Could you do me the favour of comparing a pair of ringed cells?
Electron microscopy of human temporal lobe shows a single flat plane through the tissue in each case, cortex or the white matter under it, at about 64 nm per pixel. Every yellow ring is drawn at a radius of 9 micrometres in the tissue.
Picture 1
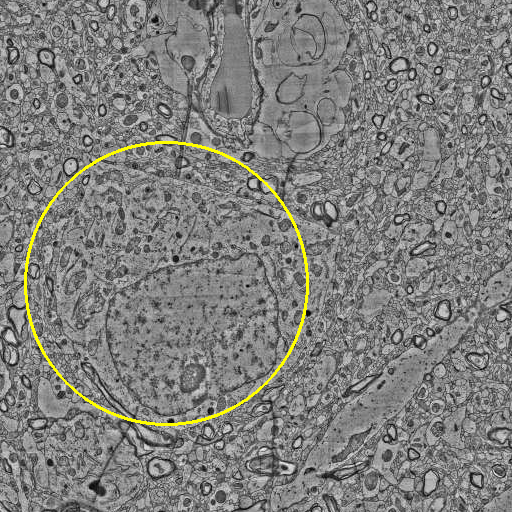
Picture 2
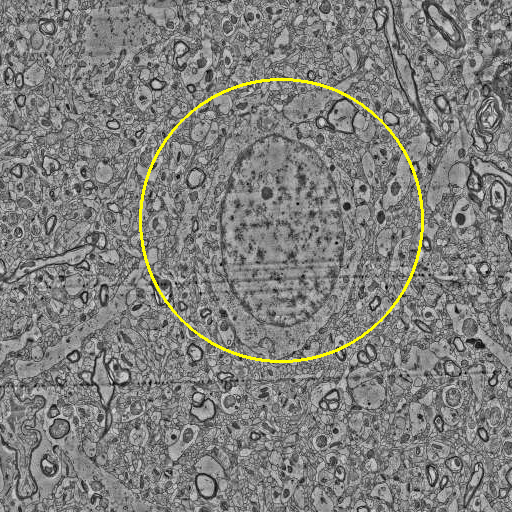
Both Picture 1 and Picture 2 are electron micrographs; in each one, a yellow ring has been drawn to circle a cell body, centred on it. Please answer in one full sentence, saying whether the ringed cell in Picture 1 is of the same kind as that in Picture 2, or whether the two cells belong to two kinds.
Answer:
The ringed cell in Picture 1 is of the same kind as that in Picture 2.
